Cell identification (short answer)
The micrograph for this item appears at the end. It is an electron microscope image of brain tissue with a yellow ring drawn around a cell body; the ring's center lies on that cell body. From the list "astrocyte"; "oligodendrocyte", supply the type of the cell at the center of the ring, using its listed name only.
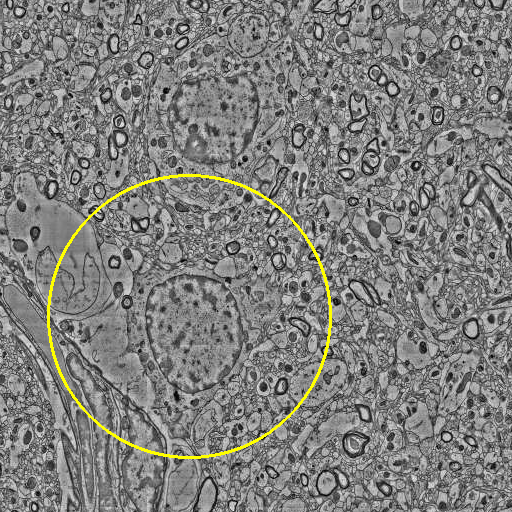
oligodendrocyte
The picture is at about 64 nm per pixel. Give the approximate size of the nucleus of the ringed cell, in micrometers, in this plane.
The ringed cell's nucleus is about 9 micrometres long and 7 micrometres wide in this plane.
